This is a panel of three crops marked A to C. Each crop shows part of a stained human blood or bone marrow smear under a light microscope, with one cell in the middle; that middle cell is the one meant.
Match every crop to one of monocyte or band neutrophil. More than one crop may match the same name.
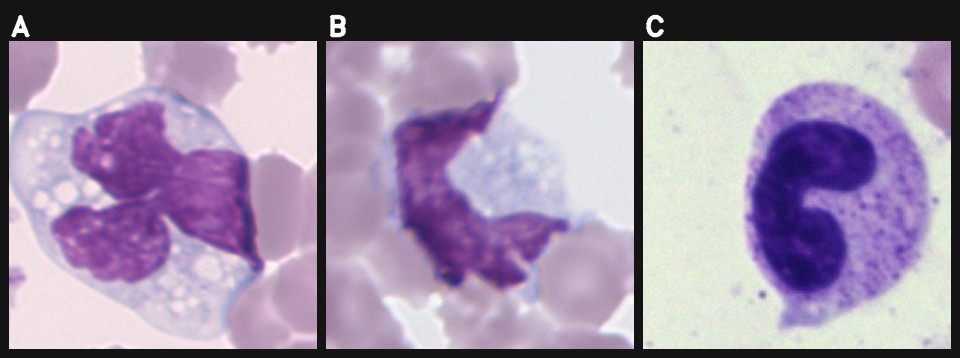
A: monocyte
B: monocyte
C: band neutrophil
